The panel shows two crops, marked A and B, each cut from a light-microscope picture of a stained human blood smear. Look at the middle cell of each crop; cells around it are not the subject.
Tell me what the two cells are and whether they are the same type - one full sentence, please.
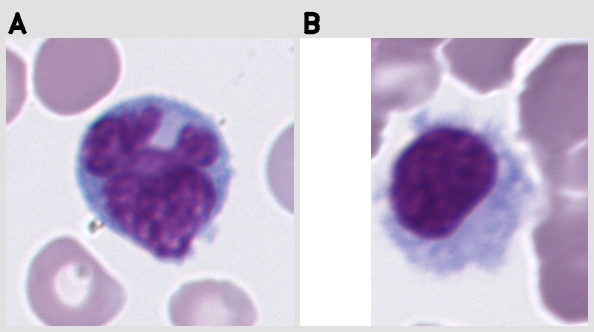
No, it is crop A that shows a monocyte, and crop B that shows a hairy cell.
